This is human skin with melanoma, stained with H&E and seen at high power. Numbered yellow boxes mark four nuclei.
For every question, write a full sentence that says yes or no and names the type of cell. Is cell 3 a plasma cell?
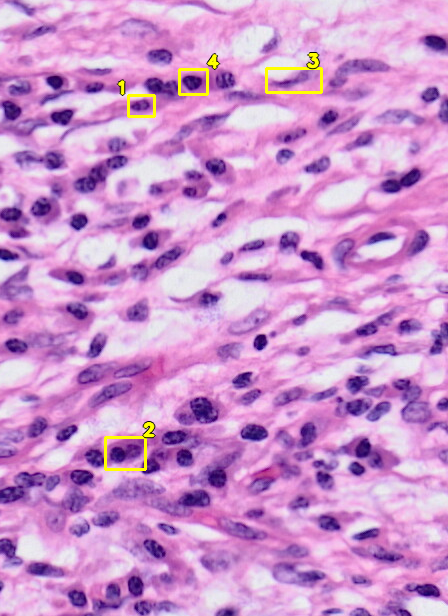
No, cell 3 is a fibroblast or myofibroblast and should not be called a plasma cell.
